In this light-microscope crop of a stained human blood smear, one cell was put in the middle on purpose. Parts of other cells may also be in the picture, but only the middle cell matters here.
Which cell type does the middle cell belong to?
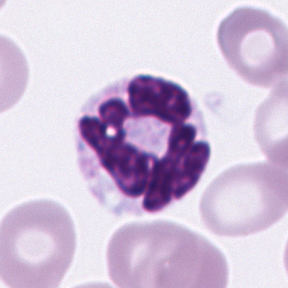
neutrophil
